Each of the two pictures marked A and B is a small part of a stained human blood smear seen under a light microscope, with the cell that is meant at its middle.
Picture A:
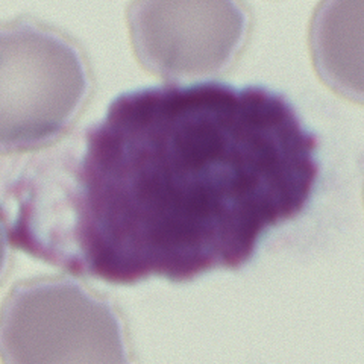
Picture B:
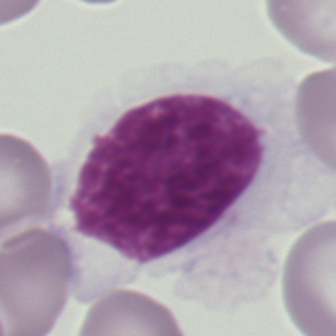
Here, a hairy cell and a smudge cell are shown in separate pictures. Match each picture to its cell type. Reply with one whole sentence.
Picture A shows a smudge cell and picture B shows a hairy cell.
